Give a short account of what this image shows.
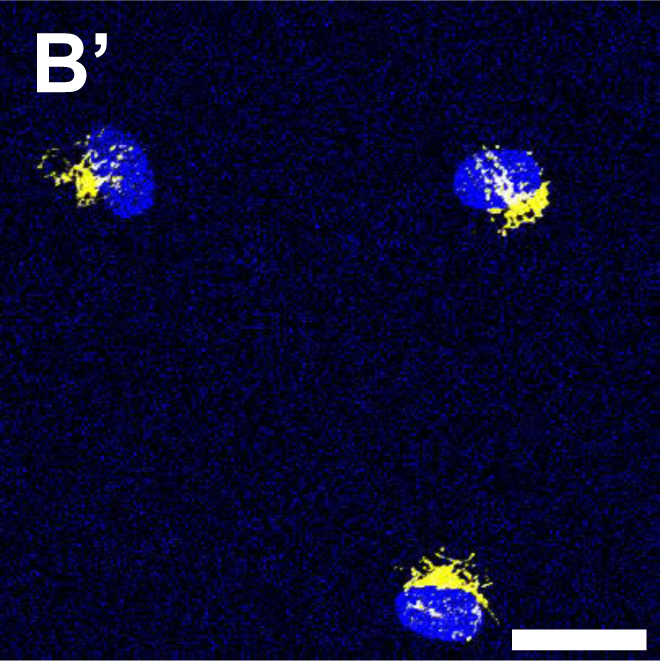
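The Golgi in each is a compact, ribbon-like cluster hugging the nucleus. It sits on a different side in each cell: left in the upper left cell, right in the cell on the right, and on top in the lower cell. White specks mark where yellow and blue overlap.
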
